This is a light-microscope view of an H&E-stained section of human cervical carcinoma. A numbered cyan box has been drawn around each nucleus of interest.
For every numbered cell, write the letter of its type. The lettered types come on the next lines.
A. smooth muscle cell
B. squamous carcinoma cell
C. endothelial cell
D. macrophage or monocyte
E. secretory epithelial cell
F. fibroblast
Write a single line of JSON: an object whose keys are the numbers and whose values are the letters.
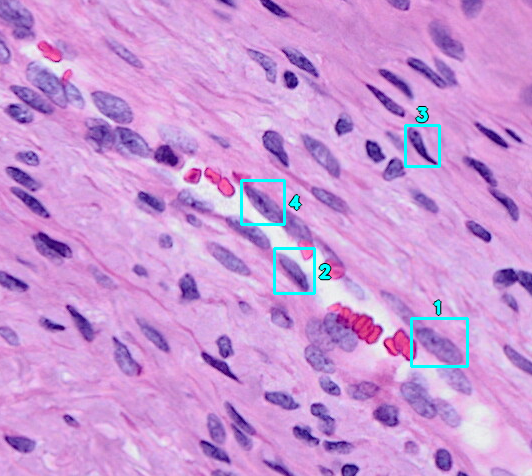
{"1": "C", "2": "C", "3": "F", "4": "C"}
